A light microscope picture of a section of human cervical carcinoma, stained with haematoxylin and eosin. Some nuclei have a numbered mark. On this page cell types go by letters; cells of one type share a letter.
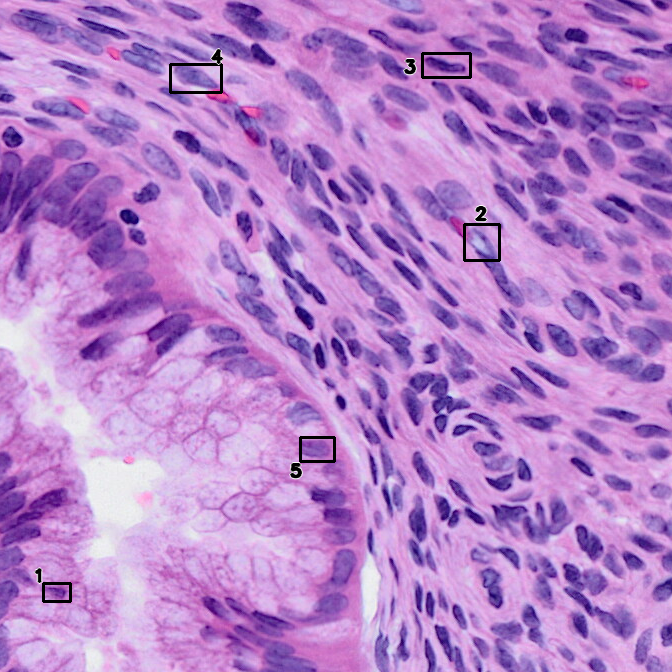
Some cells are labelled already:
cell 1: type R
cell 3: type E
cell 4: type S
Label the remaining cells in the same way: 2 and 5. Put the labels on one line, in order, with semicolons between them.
type S; type R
